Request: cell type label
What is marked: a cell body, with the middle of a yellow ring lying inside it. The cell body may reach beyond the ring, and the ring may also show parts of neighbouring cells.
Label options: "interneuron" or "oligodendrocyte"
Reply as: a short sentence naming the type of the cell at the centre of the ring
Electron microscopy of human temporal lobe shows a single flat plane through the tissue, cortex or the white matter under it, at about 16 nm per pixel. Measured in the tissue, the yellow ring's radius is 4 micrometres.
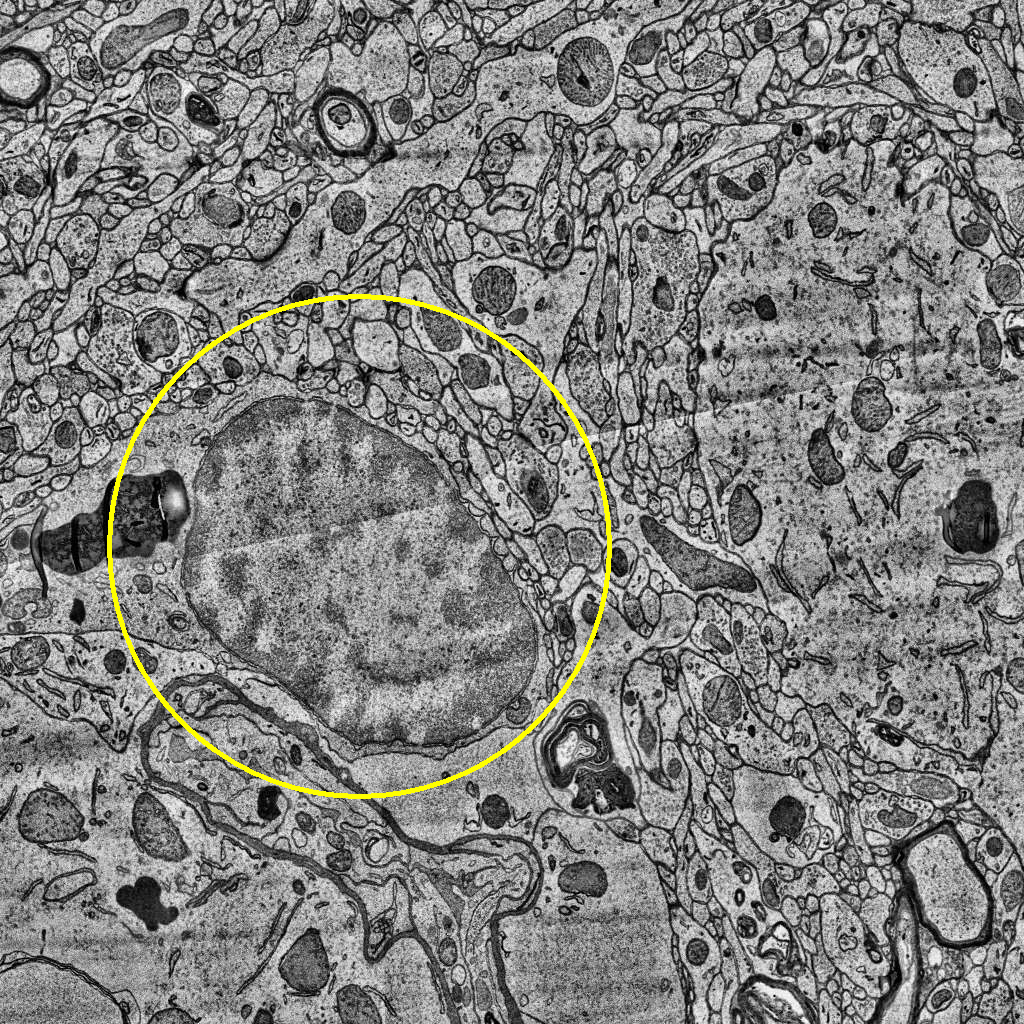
The marked cell body is that of an oligodendrocyte.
